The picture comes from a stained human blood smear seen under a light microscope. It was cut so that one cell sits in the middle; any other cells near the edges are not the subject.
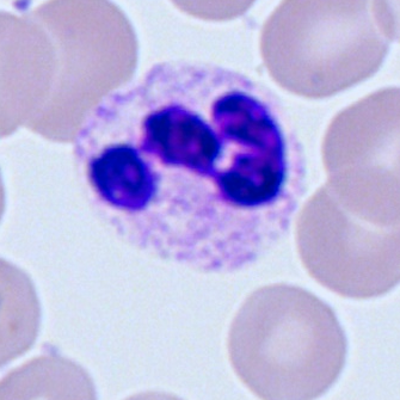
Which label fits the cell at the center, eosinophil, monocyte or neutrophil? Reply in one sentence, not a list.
The cell at the central position in this crop is a neutrophil.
